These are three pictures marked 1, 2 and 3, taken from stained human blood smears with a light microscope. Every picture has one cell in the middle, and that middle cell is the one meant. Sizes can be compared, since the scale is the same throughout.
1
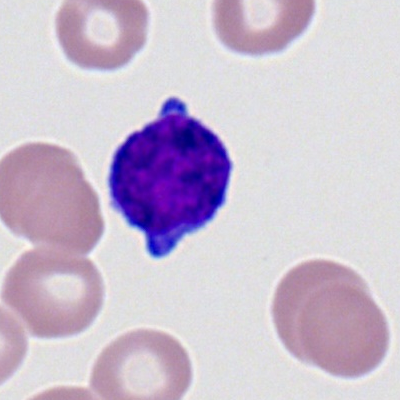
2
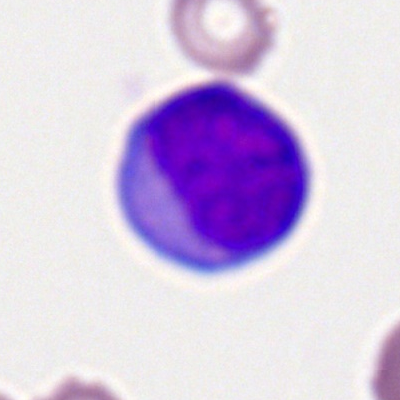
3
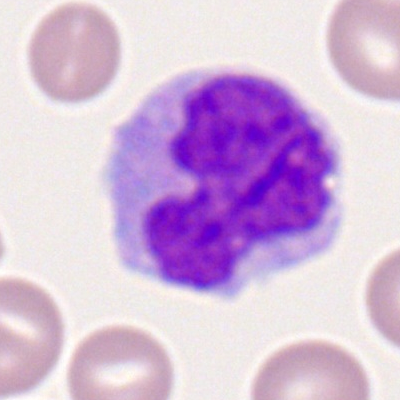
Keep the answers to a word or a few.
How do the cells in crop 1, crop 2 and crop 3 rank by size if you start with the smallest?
1, 2, 3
